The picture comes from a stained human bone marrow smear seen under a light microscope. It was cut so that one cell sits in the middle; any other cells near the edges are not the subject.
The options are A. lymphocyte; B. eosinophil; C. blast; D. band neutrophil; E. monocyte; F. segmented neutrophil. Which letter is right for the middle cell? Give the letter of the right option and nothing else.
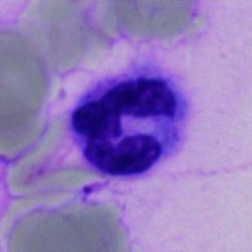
F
